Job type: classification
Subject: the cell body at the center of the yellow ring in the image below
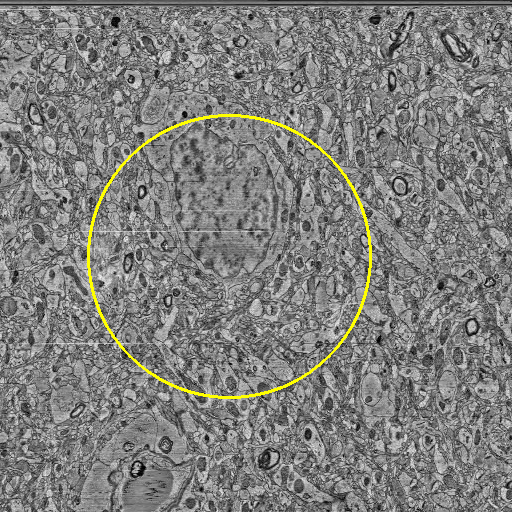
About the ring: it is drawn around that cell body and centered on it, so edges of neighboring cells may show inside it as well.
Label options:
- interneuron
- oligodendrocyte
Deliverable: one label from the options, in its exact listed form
interneuron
